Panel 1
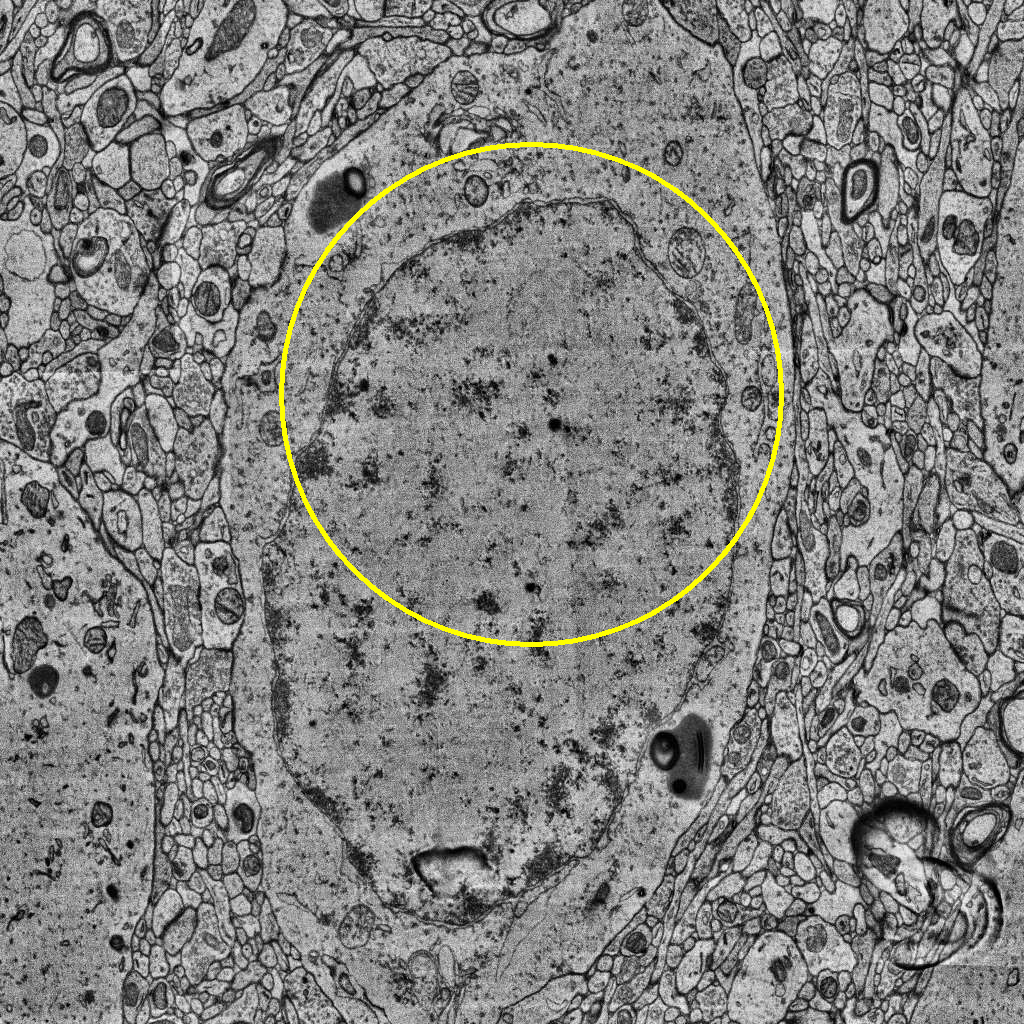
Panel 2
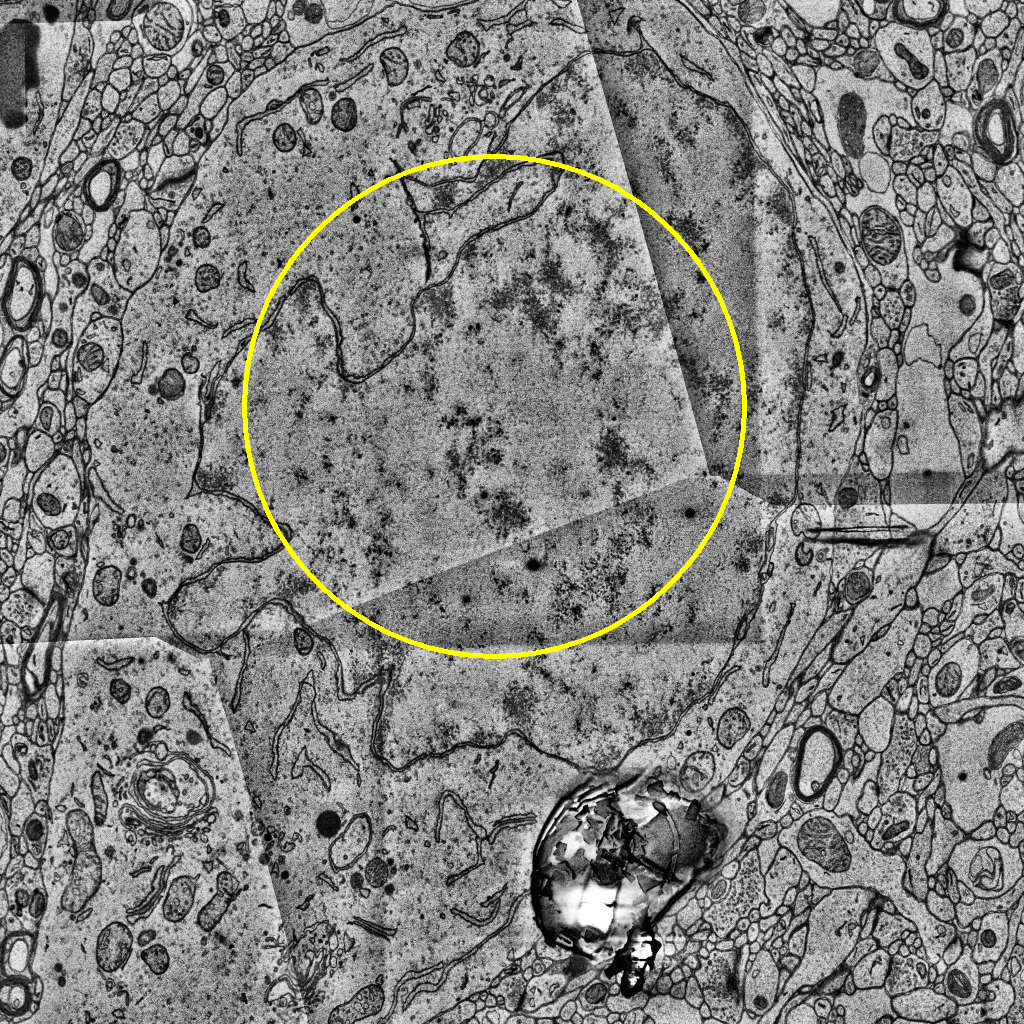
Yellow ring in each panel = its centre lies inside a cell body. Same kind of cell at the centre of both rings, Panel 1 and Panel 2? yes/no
yes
